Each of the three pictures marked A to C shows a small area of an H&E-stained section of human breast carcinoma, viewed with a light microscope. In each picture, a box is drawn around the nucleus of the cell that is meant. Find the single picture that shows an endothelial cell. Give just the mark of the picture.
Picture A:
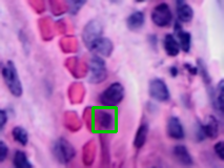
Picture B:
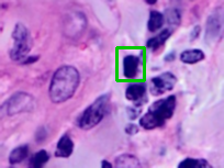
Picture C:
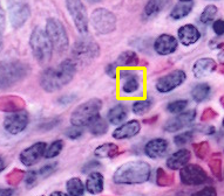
A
